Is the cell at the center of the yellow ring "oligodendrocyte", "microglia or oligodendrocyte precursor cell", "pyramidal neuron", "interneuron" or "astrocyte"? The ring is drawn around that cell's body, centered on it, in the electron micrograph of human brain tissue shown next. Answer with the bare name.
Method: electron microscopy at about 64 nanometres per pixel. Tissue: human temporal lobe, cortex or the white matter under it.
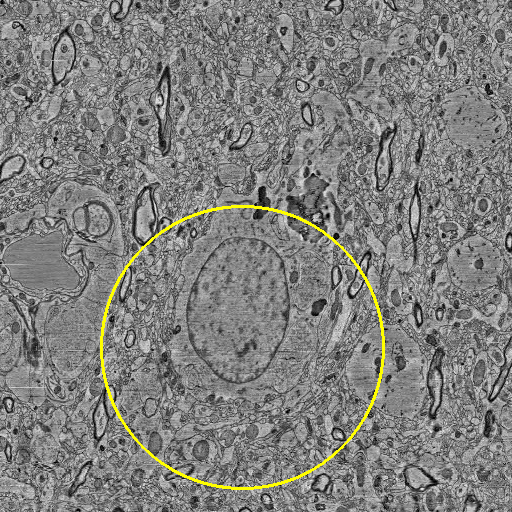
astrocyte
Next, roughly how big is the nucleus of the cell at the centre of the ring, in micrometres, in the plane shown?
In this plane, roughly 10 by 6 micrometres.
